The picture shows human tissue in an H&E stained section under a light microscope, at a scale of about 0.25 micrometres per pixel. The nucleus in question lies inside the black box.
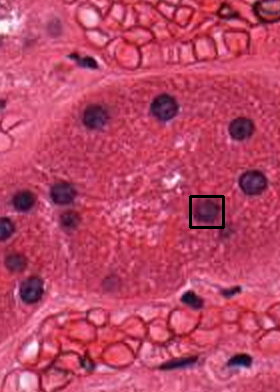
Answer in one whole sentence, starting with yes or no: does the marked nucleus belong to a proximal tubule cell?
Yes, the cell that houses the marked nucleus is a proximal tubule cell.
